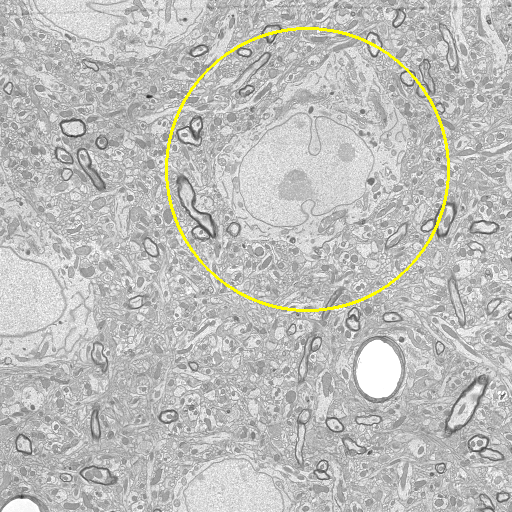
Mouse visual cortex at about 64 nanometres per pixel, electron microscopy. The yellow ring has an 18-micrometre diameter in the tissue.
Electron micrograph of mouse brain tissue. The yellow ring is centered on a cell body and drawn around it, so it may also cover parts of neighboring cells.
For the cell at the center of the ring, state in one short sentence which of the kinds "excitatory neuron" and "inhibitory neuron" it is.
This ring is centered on an excitatory neuron.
